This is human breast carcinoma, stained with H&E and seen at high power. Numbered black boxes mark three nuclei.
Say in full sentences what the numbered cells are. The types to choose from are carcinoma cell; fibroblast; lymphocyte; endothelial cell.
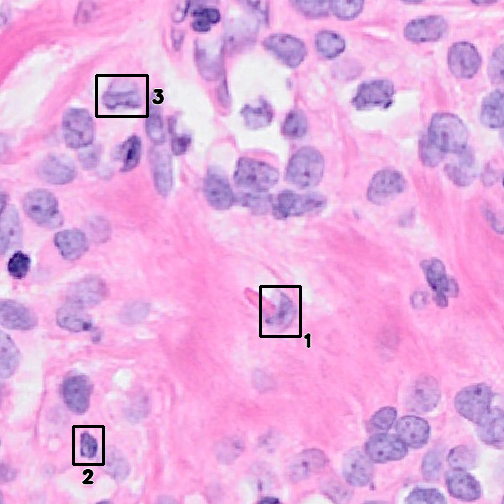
Cell 1 is an endothelial cell, cell 2 is a lymphocyte and cell 3 is a carcinoma cell.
